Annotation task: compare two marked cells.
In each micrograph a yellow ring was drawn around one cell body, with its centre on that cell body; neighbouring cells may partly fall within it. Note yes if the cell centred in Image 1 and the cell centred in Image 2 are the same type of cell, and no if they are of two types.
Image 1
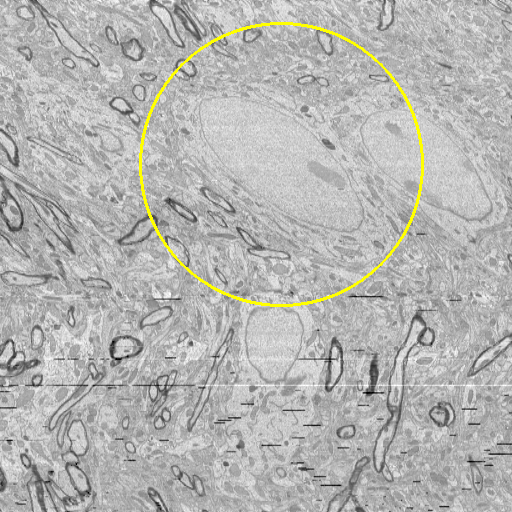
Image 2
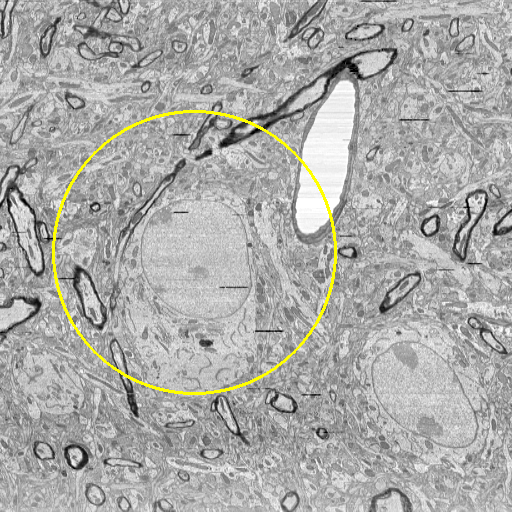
yes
